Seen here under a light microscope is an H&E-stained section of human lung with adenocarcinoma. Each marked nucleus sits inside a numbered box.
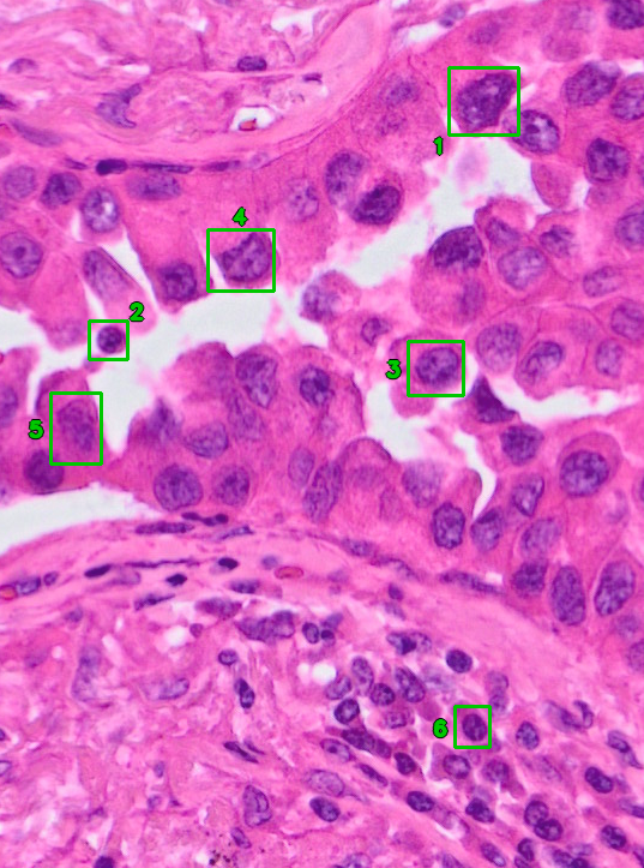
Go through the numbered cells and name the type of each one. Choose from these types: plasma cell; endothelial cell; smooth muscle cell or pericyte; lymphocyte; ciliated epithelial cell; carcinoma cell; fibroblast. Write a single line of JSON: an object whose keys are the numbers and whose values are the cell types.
{"1": "carcinoma cell", "2": "lymphocyte", "3": "carcinoma cell", "4": "carcinoma cell", "5": "carcinoma cell", "6": "plasma cell"}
